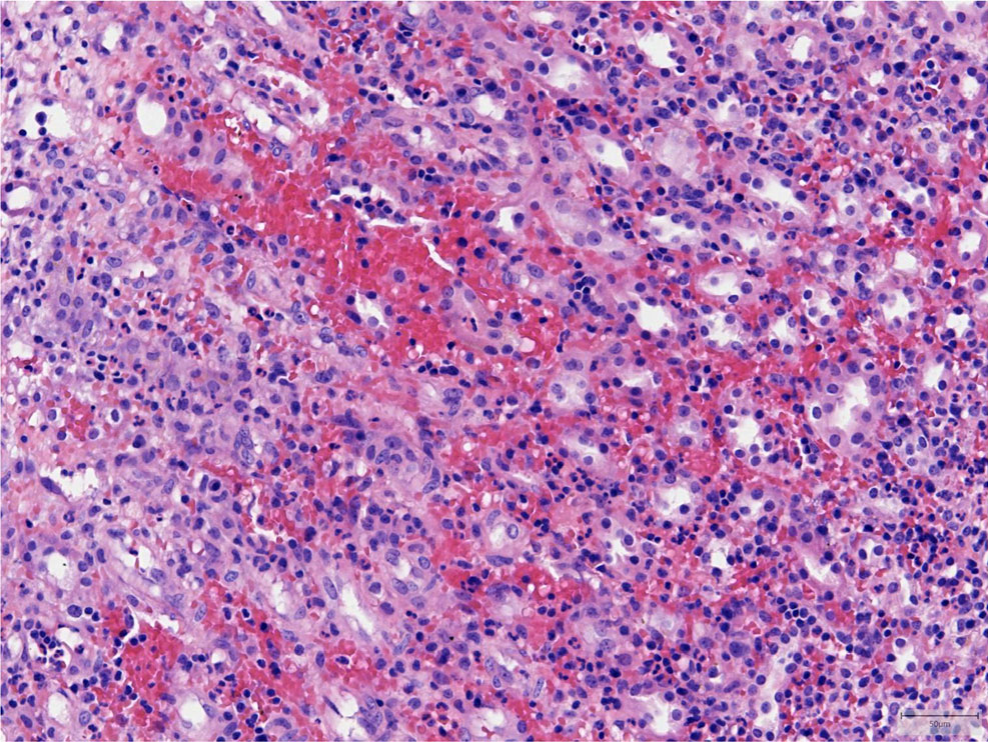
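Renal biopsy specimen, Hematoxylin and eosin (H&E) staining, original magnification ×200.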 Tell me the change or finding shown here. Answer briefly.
Diffuse dense infiltrate.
